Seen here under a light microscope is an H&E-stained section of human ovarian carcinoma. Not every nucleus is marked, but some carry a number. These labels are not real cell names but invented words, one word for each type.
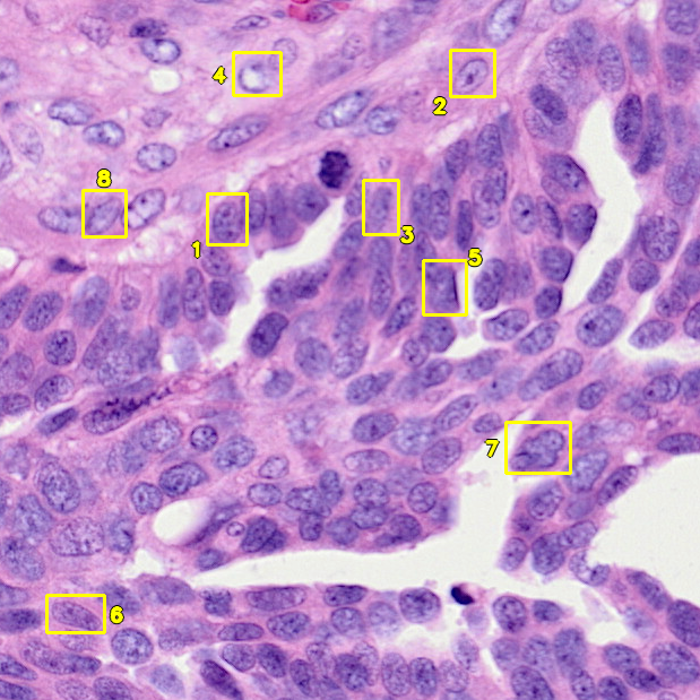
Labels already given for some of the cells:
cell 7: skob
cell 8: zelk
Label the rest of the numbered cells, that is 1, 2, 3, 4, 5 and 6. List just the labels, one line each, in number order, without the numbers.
skob
zelk
skob
zelk
skob
skob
